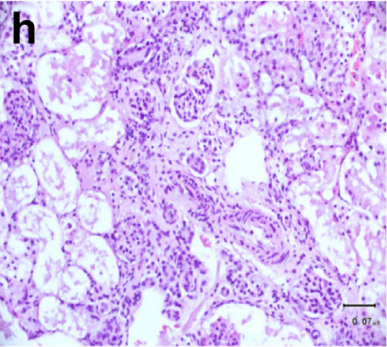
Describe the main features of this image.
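Kidney cortex in which many tubules are widened and filled with pale, foamy or wispy material, their lining cells thinned or lost. Glomeruli with purple-nucleated tufts remain among them, and the tissue between tubules is crowded with nuclei.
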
